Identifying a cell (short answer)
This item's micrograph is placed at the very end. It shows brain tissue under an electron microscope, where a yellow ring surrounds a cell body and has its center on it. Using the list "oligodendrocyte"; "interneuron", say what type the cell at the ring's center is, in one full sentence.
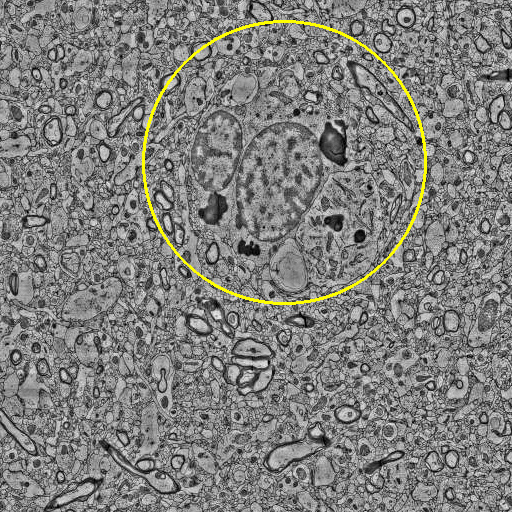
This picture shows an oligodendrocyte at the center of the yellow ring drawn on it.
